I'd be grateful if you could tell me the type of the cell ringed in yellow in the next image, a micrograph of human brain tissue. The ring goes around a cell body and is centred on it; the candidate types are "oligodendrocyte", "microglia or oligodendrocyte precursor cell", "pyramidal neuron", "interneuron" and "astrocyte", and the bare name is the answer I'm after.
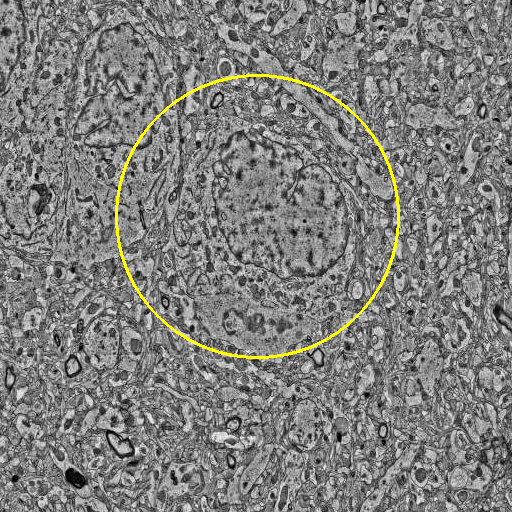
interneuron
